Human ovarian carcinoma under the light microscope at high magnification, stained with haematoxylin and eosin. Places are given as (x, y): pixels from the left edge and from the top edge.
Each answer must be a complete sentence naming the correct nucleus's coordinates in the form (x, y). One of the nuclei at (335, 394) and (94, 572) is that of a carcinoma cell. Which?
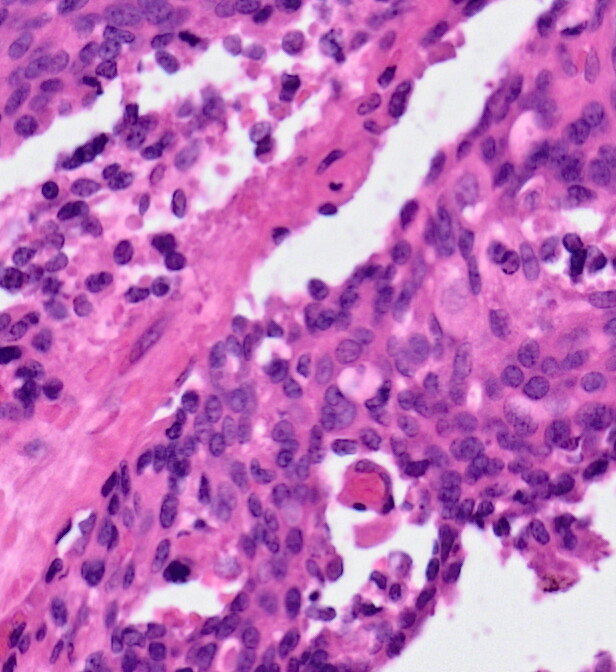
Lying within a carcinoma cell is the nucleus at (335, 394).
